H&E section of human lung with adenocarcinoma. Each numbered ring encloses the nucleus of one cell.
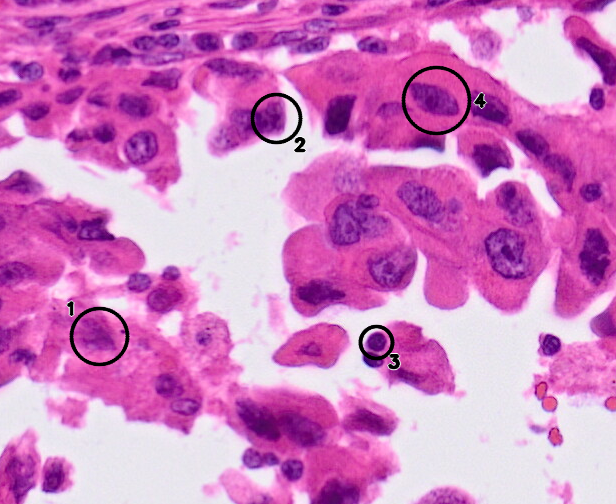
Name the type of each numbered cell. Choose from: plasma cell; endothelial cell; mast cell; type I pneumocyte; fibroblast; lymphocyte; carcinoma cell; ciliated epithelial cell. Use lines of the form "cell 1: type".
cell 1: carcinoma cell
cell 2: carcinoma cell
cell 3: lymphocyte
cell 4: carcinoma cell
